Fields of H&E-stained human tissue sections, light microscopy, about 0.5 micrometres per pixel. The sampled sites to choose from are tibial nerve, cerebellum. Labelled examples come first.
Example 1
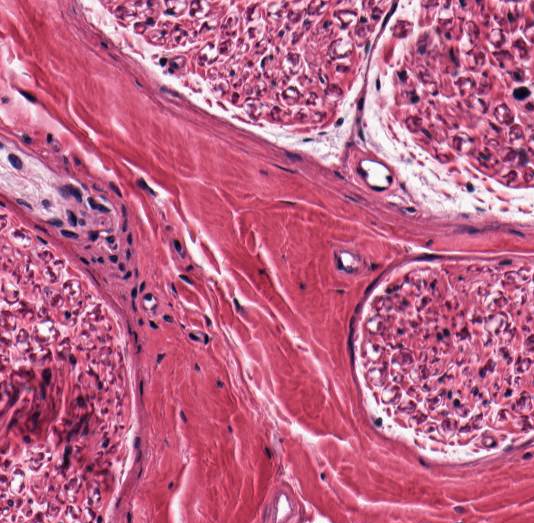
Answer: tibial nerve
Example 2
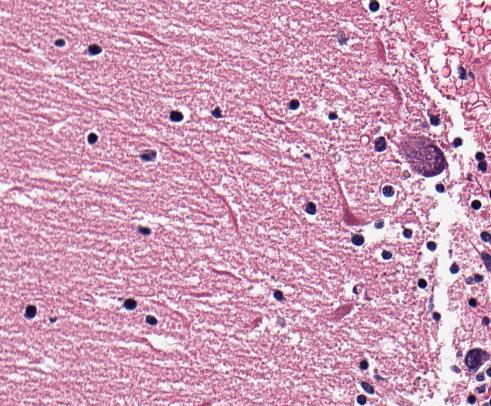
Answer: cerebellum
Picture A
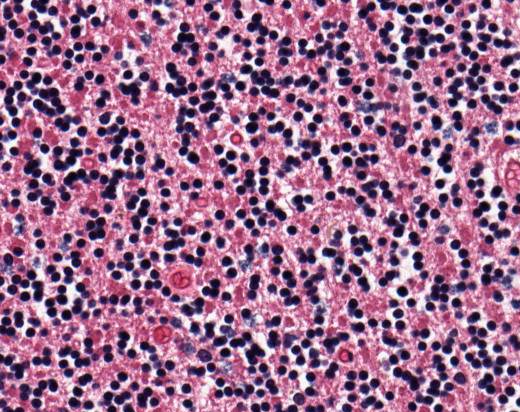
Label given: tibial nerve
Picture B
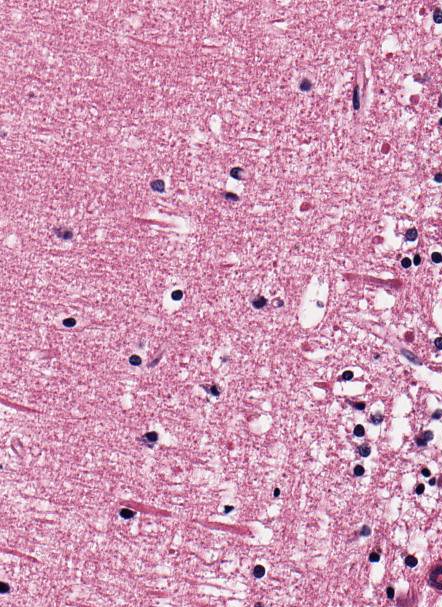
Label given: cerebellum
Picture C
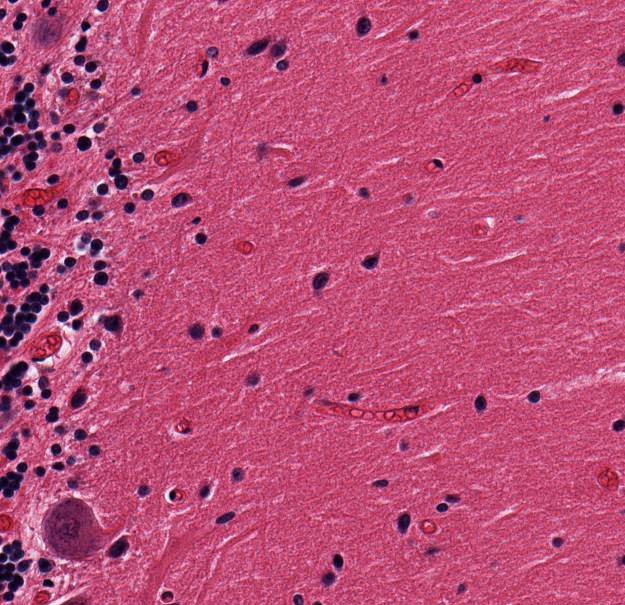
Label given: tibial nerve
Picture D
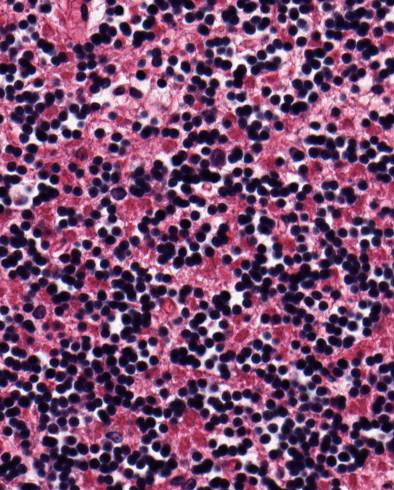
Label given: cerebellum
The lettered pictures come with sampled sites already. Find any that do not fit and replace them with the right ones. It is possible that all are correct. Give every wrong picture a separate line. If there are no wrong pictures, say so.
A: not tibial nerve but cerebellum
C: not tibial nerve but cerebellum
